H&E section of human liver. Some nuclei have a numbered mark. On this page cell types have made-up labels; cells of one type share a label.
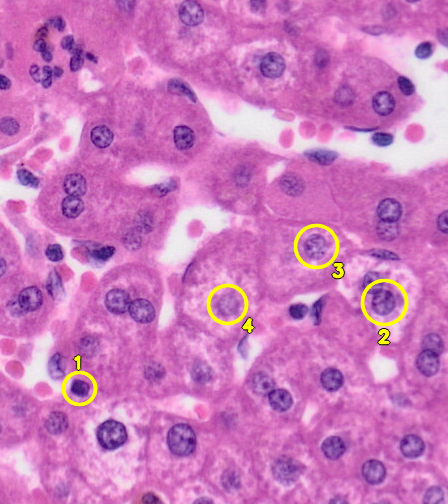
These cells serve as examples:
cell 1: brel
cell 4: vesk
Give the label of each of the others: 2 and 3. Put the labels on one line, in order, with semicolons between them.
vesk; vesk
